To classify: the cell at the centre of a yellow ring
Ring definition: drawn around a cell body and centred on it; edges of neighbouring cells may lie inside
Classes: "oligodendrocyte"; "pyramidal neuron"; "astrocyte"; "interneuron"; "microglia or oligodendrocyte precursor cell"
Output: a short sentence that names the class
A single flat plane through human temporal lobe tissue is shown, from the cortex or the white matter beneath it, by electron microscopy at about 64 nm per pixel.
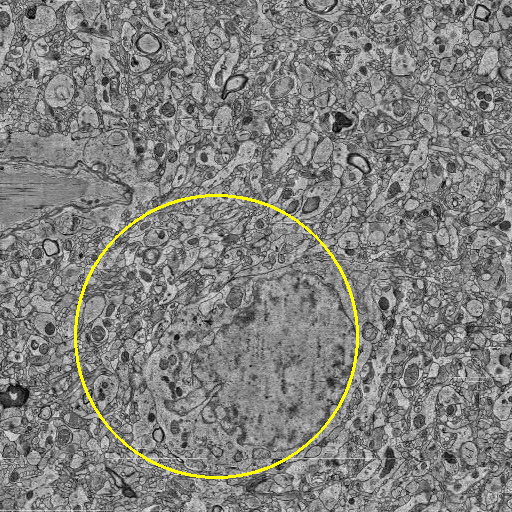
The ringed cell is an interneuron.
